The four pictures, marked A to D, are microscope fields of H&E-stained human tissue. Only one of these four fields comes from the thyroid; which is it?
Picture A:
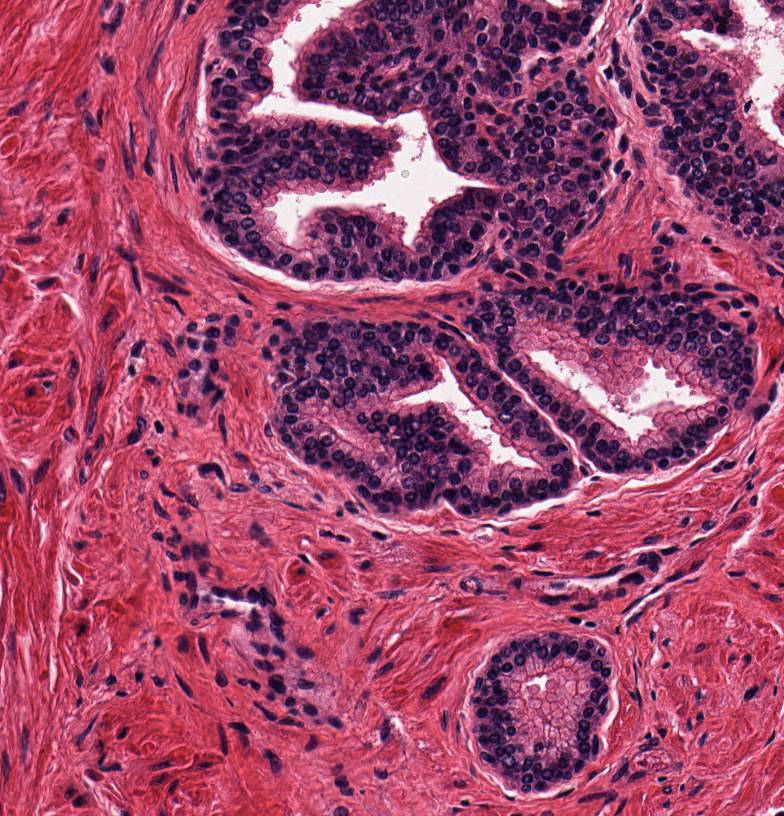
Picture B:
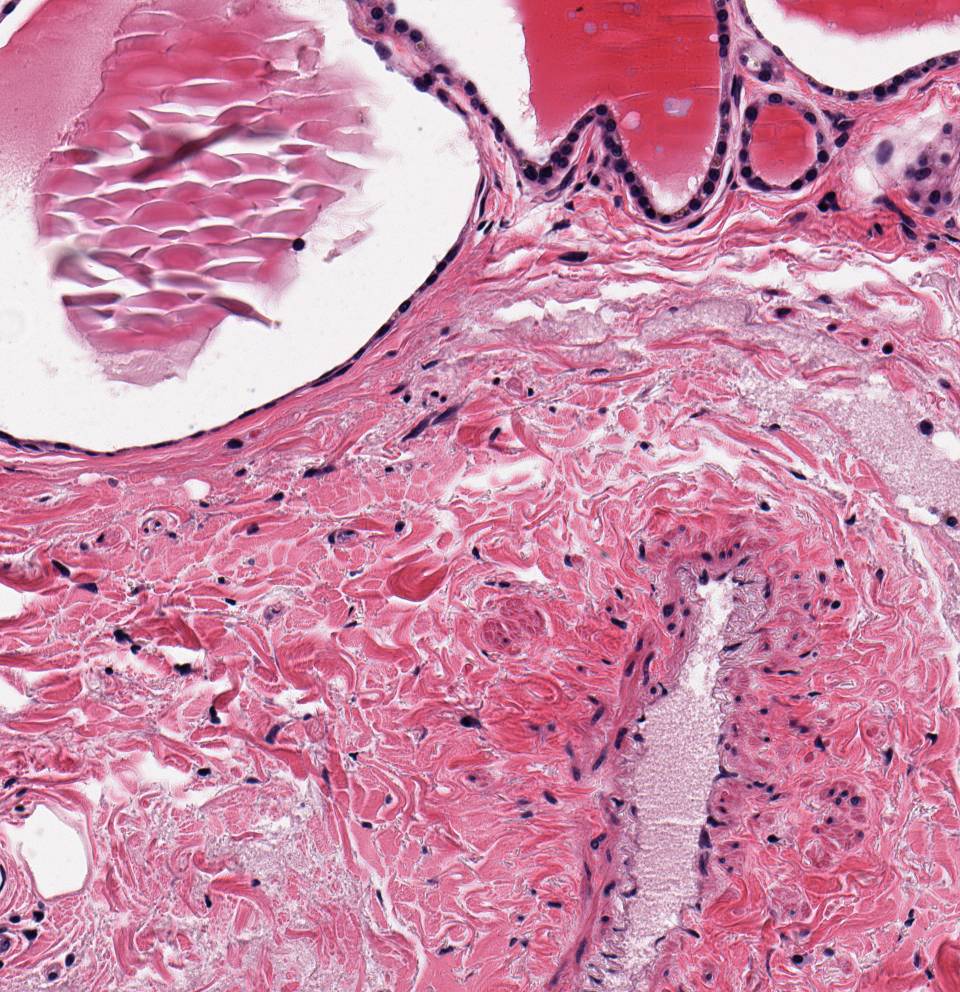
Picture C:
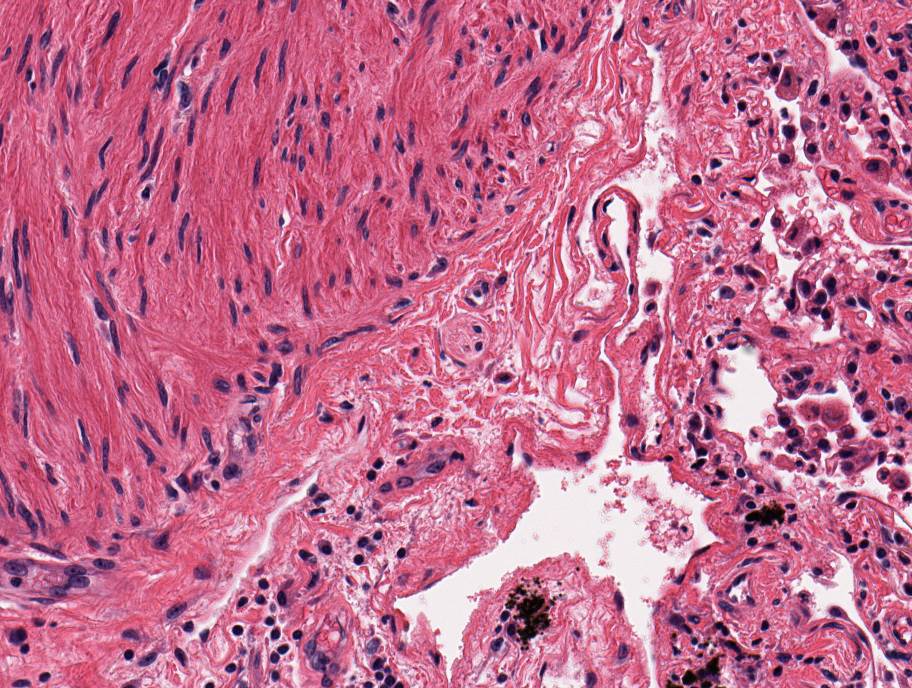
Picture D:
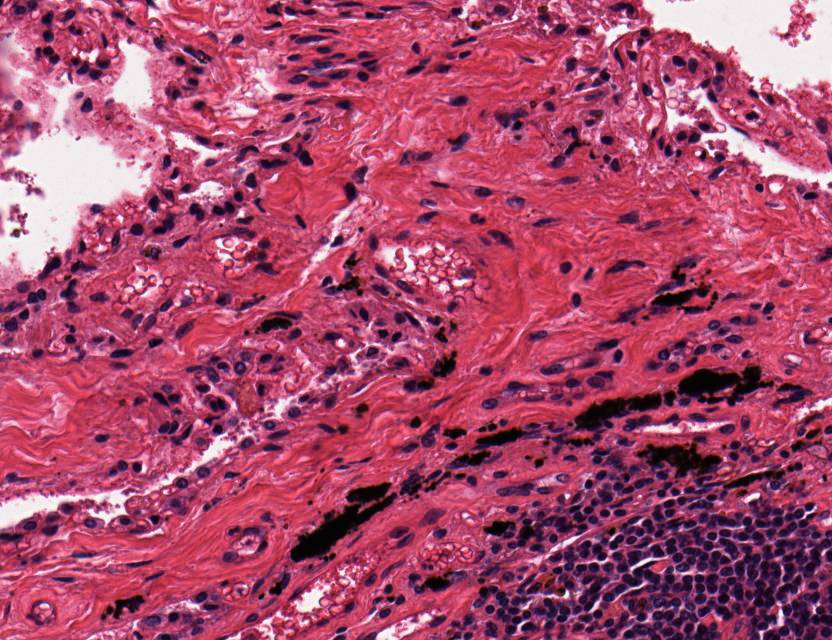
B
